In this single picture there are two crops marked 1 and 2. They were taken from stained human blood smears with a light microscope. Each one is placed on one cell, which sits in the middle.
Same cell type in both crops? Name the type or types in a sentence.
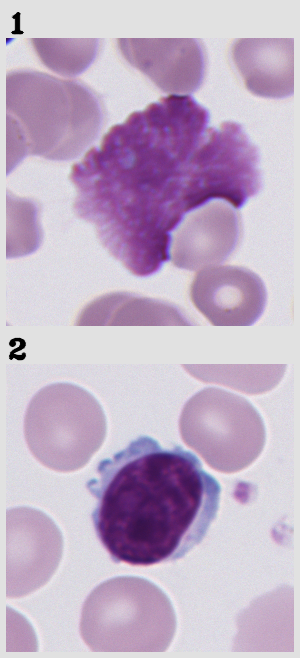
No, the cell in crop 1 is a smudge cell and the one in crop 2 is a typical lymphocyte.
